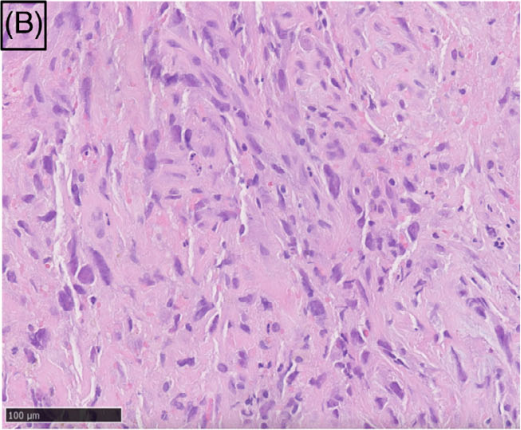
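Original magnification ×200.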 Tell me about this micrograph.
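This is a tumour made up of atypical spindle-shaped and round cells with pink, eosinophilic cytoplasm. The cells lie loosely in haphazard and partly streaming arrangements within a pink fibrillar background. Their nuclei are dark purple, enlarged and markedly variable in size and shape, with some large, irregular nuclei scattered among smaller elongated ones. Narrow clefts run between groups of cells.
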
